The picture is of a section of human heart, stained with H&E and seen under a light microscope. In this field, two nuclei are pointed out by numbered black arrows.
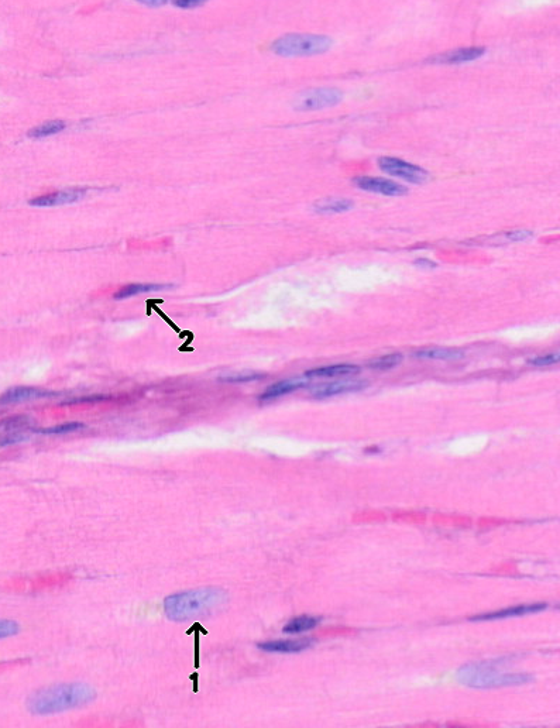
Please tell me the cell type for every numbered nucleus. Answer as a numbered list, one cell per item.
1. cardiomyocyte
2. endothelial cell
